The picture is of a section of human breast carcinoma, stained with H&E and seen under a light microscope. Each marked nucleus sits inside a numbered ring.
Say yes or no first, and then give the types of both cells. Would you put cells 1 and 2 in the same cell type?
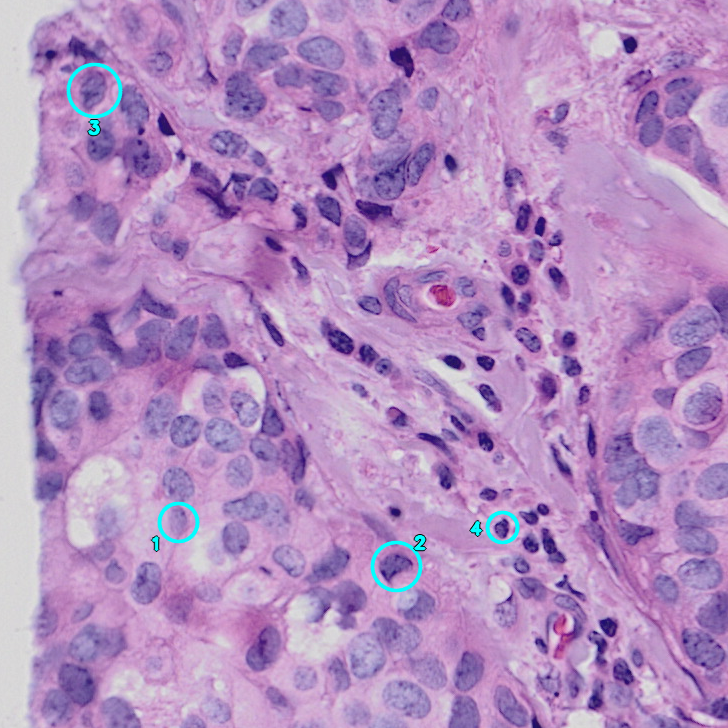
Yes, the cells bearing numbers 1 and 2 are both carcinoma cells.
